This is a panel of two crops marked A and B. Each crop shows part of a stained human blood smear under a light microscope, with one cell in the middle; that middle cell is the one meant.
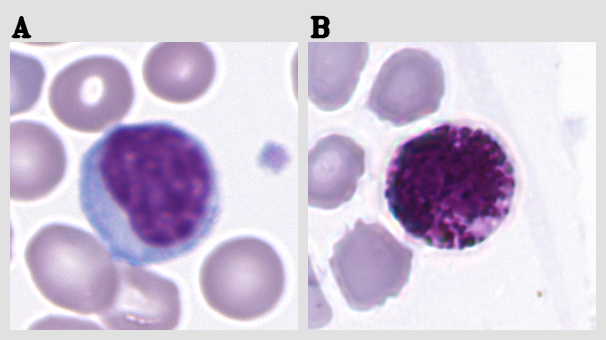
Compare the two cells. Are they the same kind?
no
